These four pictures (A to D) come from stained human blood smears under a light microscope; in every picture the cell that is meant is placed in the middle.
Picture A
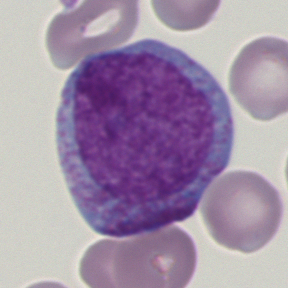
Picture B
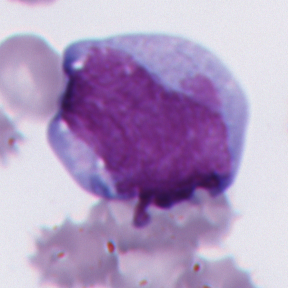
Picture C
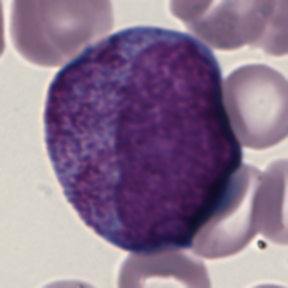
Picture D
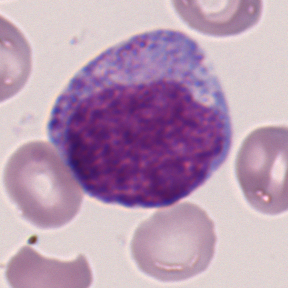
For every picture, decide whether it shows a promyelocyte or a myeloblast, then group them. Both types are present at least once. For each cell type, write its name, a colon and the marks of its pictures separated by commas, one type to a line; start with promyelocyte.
promyelocyte: A, C, D
myeloblast: B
